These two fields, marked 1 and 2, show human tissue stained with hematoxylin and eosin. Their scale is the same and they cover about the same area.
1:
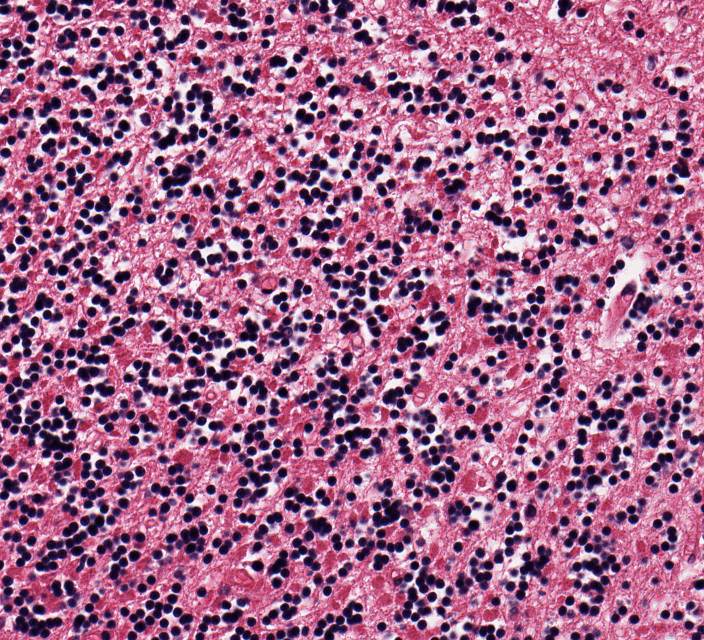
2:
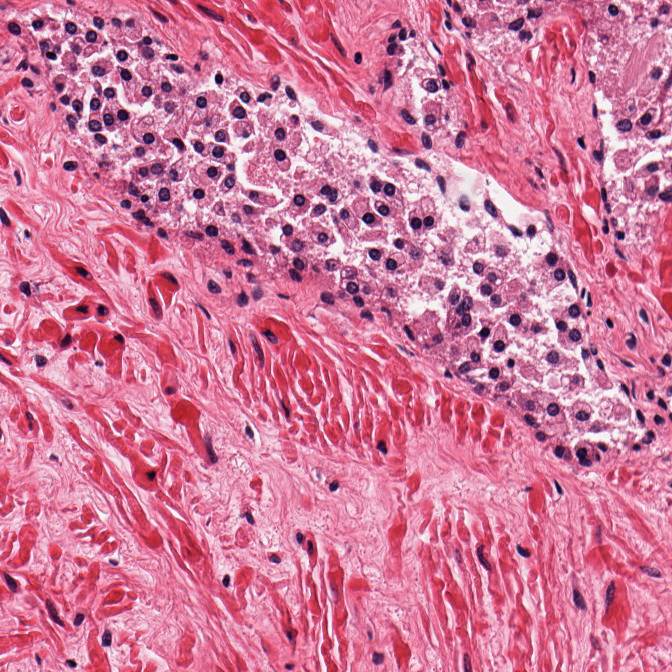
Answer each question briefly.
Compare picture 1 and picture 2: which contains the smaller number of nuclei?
2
